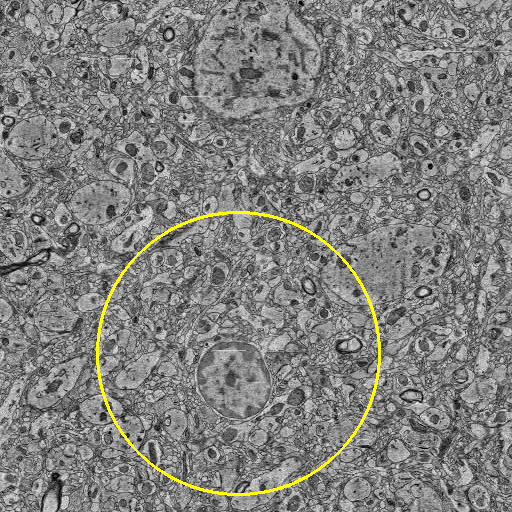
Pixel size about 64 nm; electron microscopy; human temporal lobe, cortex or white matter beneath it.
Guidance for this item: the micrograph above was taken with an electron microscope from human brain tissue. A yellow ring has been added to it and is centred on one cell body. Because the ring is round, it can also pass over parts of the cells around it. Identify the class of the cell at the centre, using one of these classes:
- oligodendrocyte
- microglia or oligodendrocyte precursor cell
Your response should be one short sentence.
The ring surrounds the body of a microglial cell or oligodendrocyte precursor cell.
